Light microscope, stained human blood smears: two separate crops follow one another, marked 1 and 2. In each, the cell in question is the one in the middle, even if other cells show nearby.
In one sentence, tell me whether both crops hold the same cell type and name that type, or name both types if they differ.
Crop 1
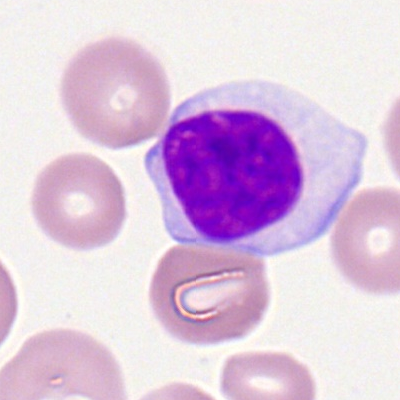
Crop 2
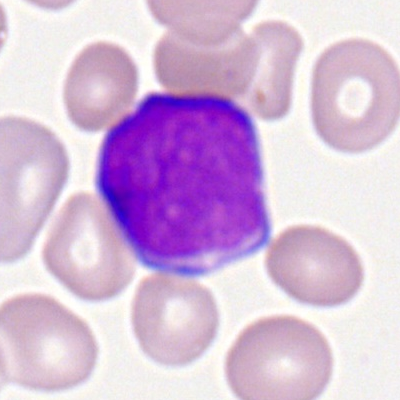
No, it is crop 1 that shows a lymphocyte, and crop 2 shows a myeloblast.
